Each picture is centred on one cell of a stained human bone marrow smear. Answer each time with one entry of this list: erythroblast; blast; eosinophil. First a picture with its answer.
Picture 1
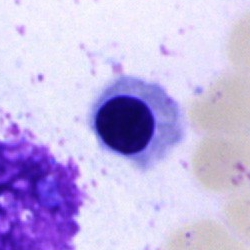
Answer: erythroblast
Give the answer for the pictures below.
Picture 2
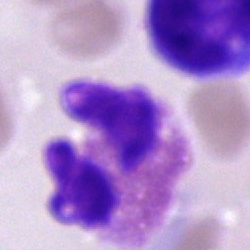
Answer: eosinophil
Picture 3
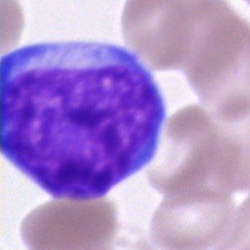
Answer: blast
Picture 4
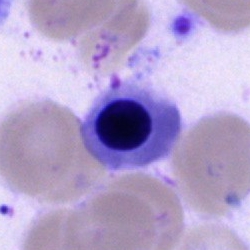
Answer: erythroblast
